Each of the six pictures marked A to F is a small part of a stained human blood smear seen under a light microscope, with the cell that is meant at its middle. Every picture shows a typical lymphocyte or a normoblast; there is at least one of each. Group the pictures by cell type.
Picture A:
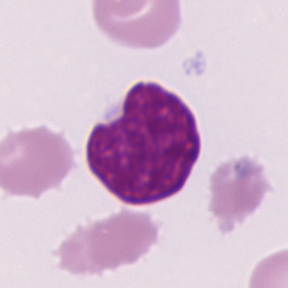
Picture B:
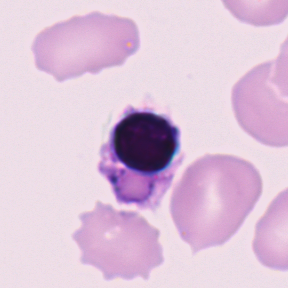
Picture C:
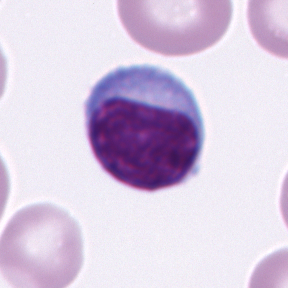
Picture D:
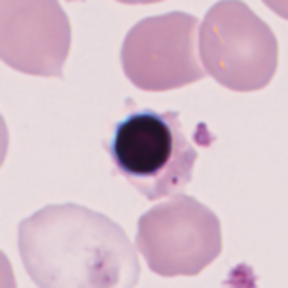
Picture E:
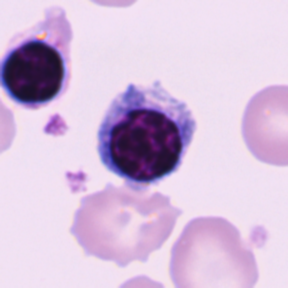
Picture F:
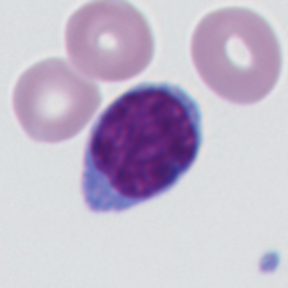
A: typical lymphocyte
B: normoblast
C: typical lymphocyte
D: normoblast
E: normoblast
F: typical lymphocyte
